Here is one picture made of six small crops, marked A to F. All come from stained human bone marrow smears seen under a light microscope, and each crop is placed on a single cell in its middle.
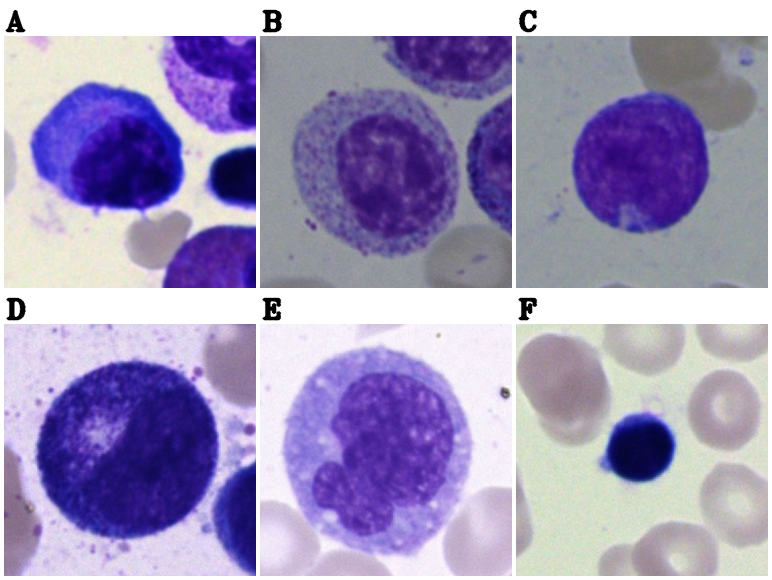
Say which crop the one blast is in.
C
